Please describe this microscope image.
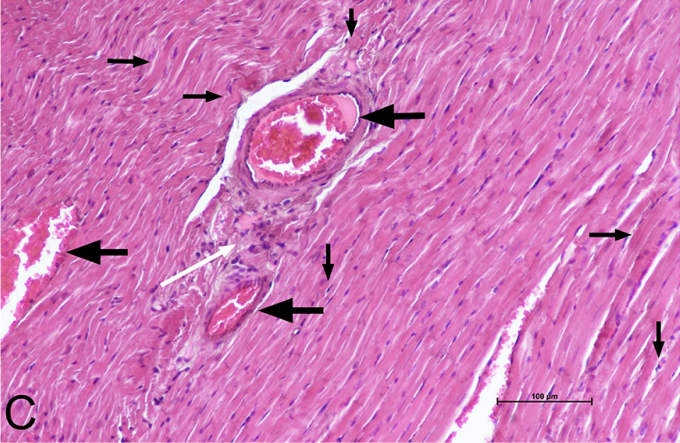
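This is cardiac muscle in longitudinal section, with pink, elongated muscle fibres carrying oval central nuclei and arranged in parallel bundles. Near the centre, vessels are distended and packed with red blood cells, and a cluster of small, dark, round nuclei of inflammatory cells lies in the connective tissue around them. Clefts separate some of the fibre bundles.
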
